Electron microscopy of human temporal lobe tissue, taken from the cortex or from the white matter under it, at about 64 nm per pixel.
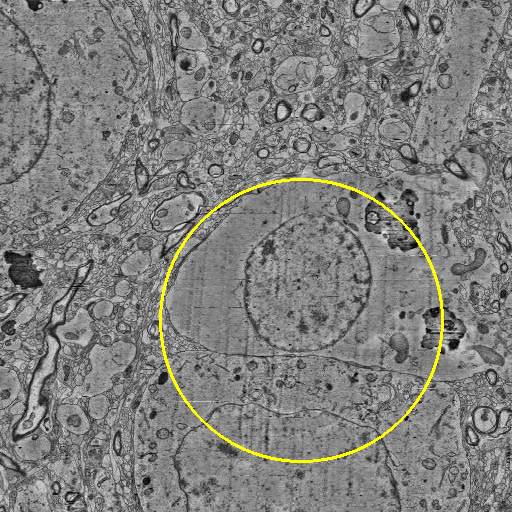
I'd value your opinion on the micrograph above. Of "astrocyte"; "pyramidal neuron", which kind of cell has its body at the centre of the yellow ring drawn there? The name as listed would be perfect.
astrocyte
